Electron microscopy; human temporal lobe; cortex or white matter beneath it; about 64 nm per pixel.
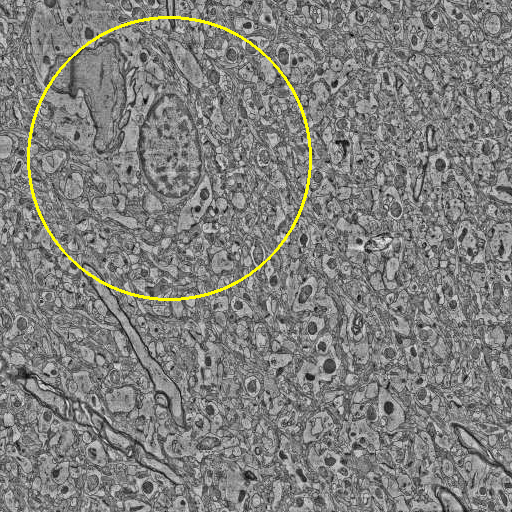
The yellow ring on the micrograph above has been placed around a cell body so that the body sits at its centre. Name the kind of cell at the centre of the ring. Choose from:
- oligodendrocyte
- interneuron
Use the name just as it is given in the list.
oligodendrocyte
